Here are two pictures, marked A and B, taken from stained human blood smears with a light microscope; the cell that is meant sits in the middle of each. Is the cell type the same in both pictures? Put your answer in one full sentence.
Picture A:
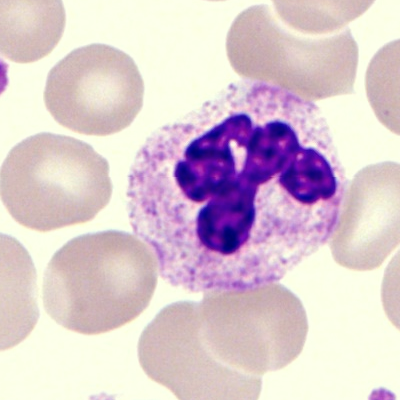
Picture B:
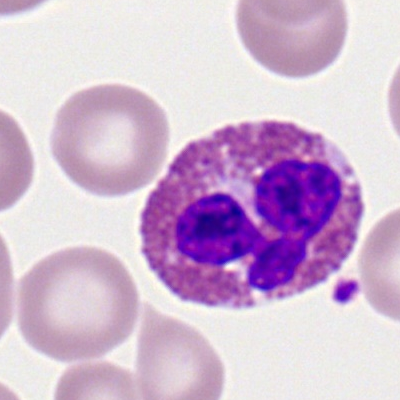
No, they differ: the cell is a segmented neutrophil in picture A and an eosinophil in picture B.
